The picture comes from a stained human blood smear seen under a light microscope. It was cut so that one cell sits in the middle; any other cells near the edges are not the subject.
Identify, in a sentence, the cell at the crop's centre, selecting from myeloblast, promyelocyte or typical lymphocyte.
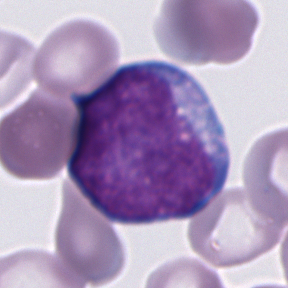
The crop shows a myeloblast in its centre.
